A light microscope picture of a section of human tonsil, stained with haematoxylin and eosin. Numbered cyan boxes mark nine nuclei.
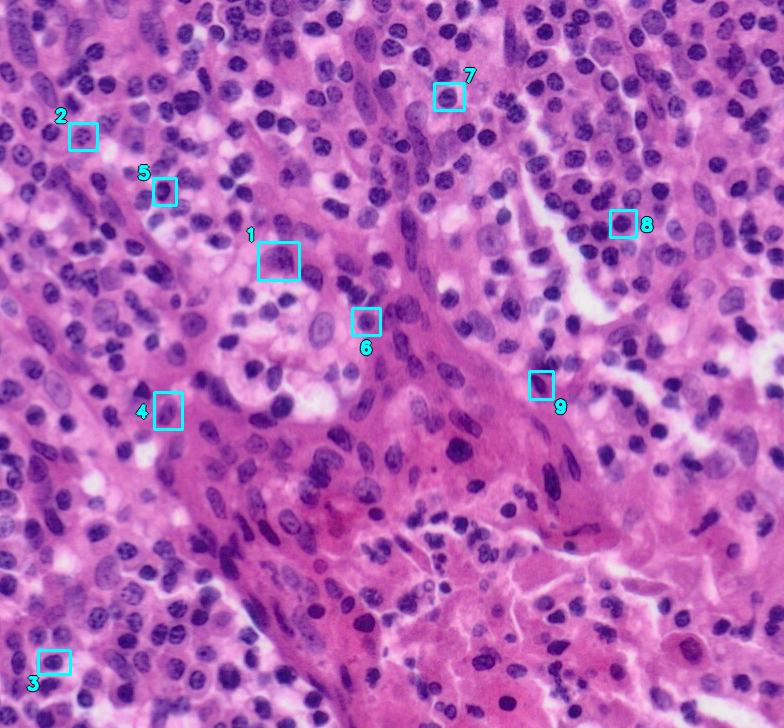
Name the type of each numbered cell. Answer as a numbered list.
1. squamous epithelial cell
2. plasma cell
3. plasma cell
4. squamous epithelial cell
5. plasma cell
6. squamous epithelial cell
7. plasma cell
8. plasma cell
9. squamous epithelial cell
